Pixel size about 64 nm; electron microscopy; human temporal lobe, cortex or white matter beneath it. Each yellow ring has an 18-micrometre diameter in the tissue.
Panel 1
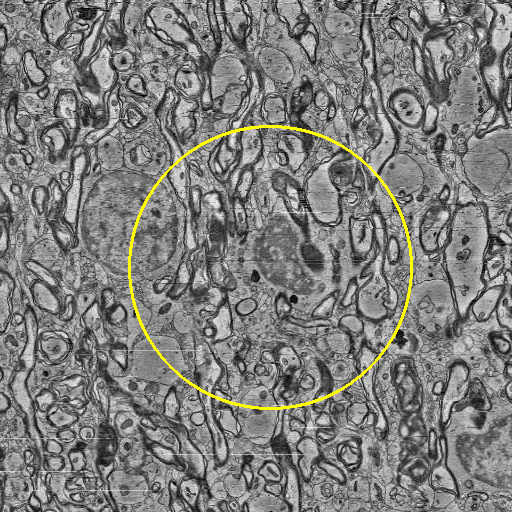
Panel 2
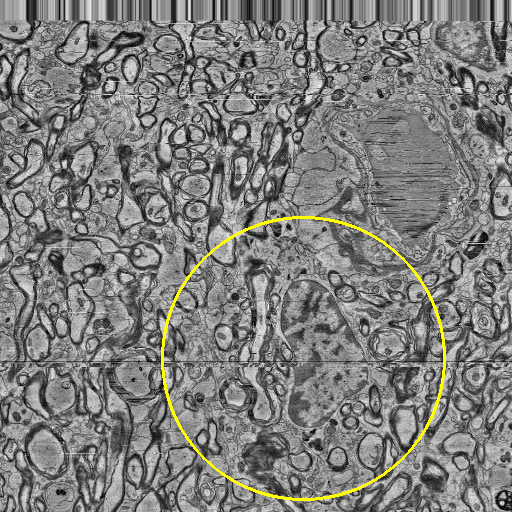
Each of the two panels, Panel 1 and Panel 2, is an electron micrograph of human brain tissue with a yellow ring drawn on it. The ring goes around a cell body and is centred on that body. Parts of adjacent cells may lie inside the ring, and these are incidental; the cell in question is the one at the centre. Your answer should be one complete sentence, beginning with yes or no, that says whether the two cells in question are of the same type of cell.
No, the two cells are of two types.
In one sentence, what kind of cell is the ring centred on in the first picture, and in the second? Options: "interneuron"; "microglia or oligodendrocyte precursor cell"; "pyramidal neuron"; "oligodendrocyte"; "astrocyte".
The cell at the centre of the second ring is a microglial cell or oligodendrocyte precursor cell; the first ring's cell is an oligodendrocyte.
